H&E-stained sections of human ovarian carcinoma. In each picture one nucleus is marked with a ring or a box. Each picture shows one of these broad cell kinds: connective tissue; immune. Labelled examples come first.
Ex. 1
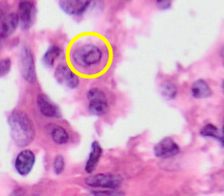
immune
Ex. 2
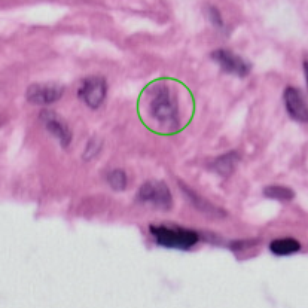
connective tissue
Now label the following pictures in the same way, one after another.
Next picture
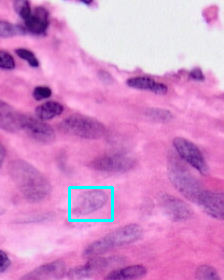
connective tissue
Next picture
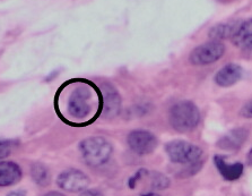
immune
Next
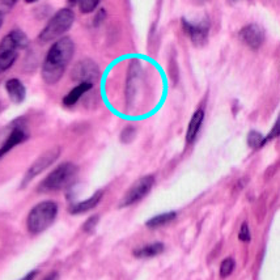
connective tissue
